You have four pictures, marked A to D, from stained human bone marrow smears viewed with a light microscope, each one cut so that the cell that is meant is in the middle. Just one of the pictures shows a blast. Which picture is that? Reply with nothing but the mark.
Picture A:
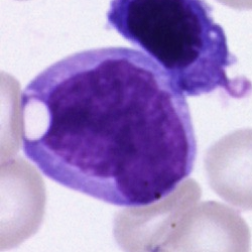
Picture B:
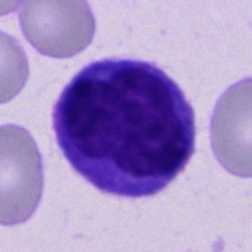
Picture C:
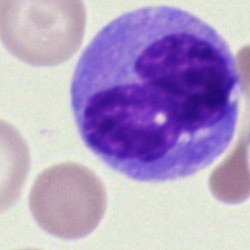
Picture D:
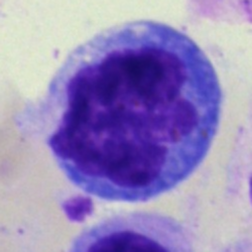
A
